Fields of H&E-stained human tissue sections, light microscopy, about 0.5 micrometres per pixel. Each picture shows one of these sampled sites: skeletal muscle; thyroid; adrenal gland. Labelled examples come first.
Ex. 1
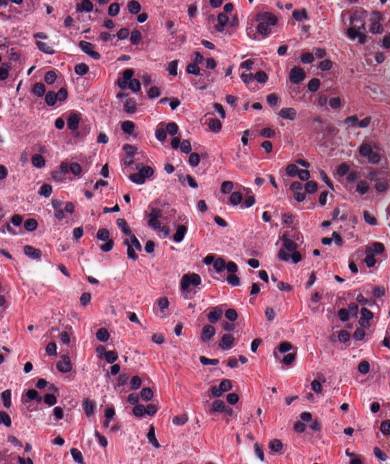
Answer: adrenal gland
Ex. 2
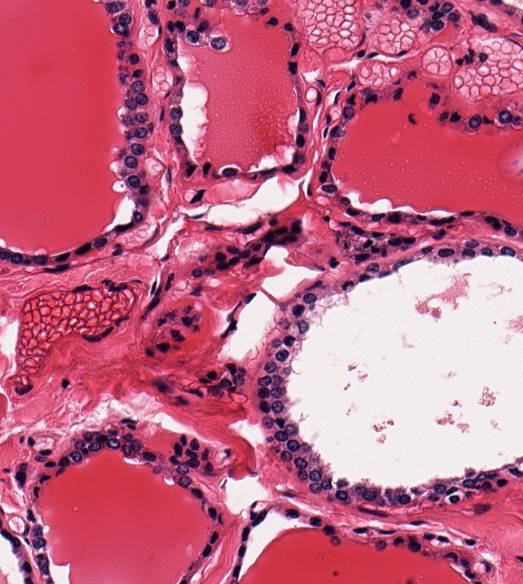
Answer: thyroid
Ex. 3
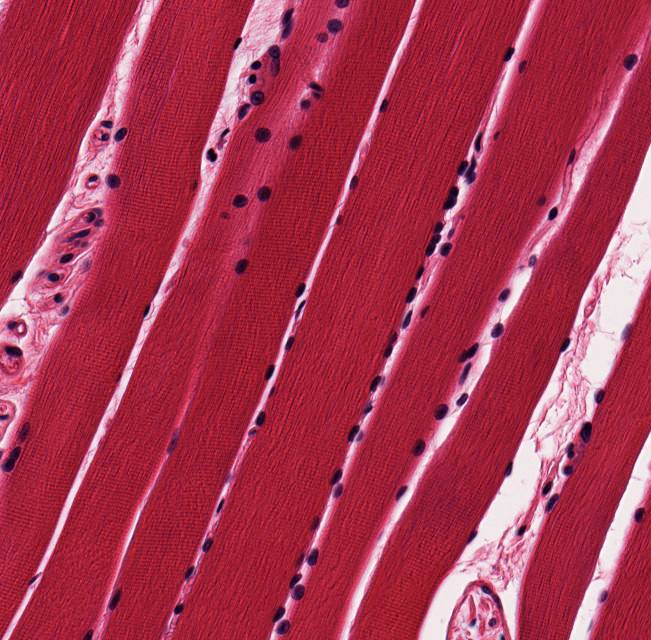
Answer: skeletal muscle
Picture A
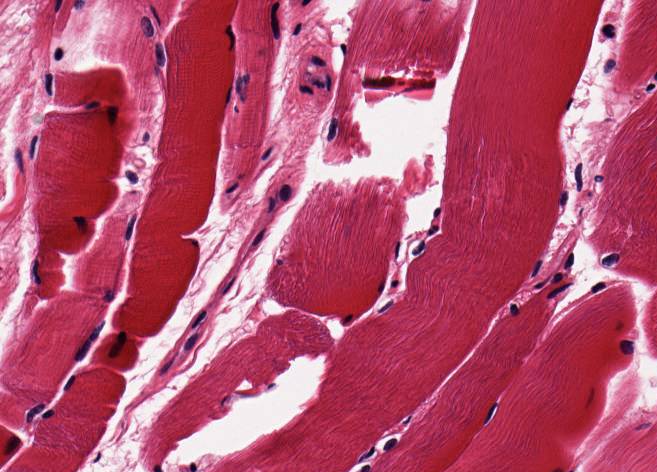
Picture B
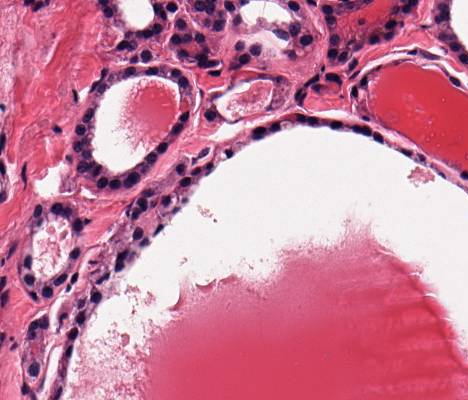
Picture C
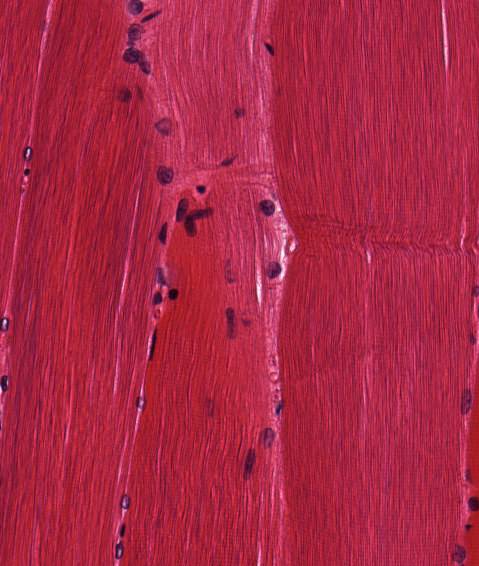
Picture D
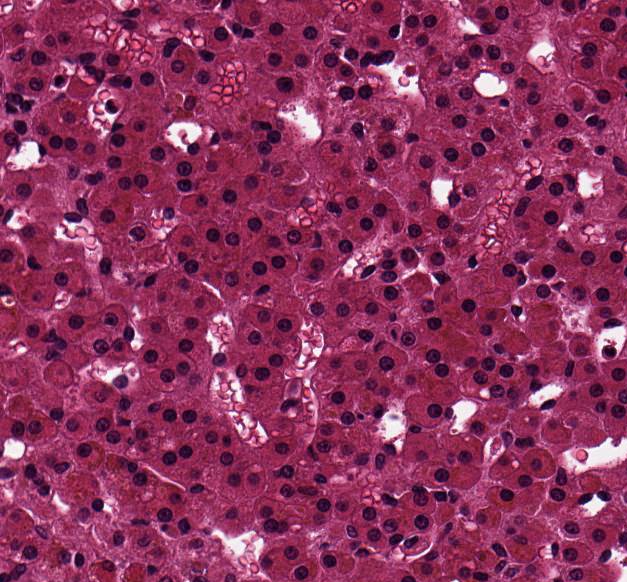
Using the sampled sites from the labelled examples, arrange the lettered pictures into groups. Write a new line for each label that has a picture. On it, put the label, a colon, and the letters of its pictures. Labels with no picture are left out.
skeletal muscle: A, C
thyroid: B
adrenal gland: D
